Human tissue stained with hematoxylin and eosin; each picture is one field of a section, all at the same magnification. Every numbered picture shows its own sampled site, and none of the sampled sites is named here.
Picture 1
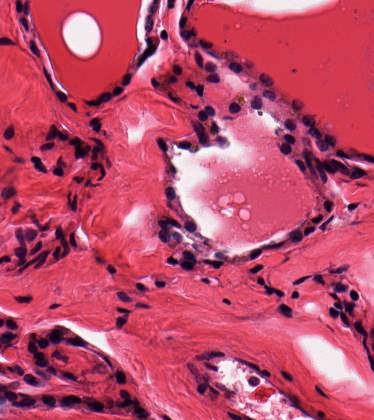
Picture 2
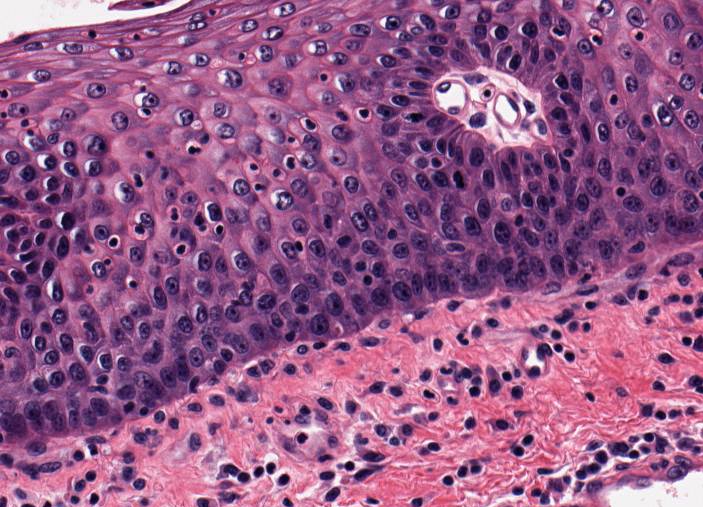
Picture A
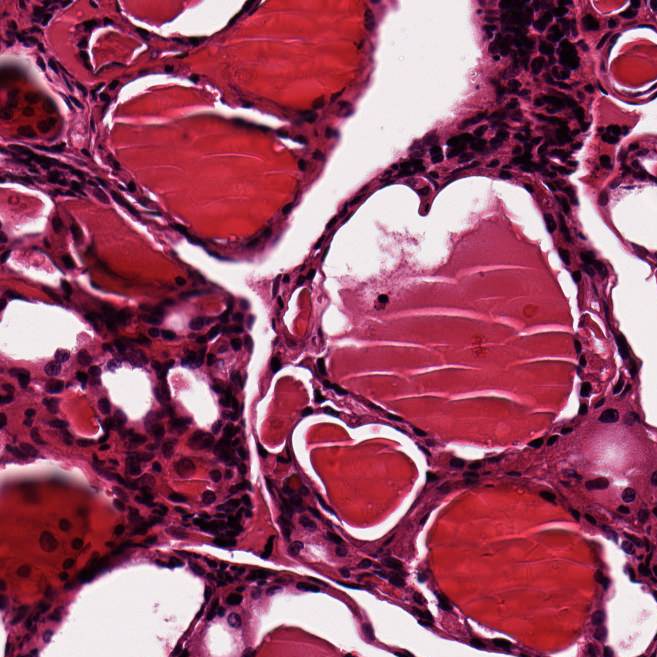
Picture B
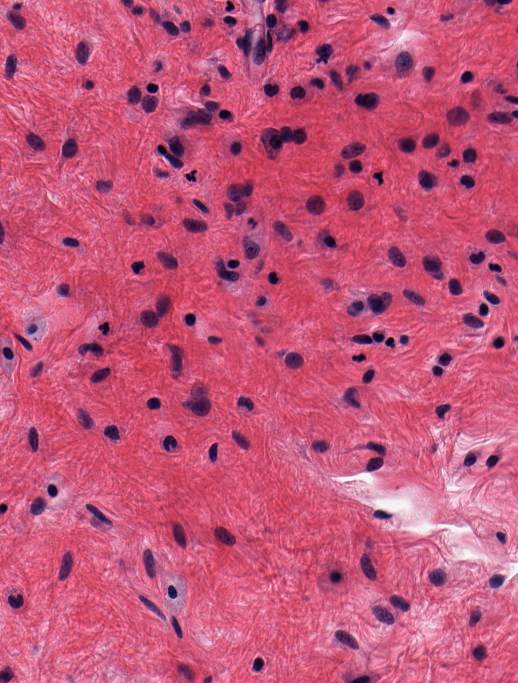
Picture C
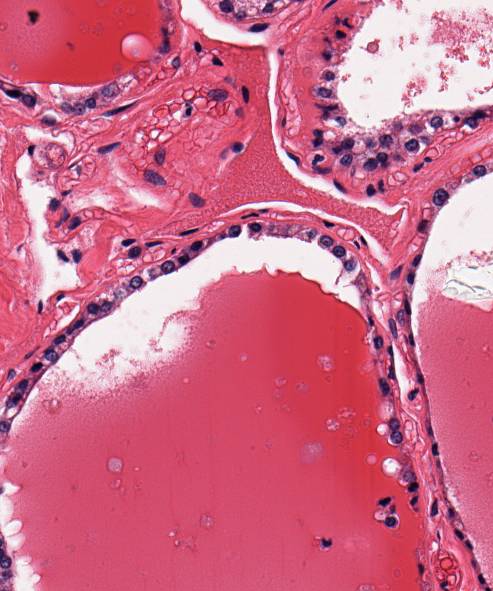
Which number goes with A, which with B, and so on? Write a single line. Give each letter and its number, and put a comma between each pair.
A 1, B 2, C 1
